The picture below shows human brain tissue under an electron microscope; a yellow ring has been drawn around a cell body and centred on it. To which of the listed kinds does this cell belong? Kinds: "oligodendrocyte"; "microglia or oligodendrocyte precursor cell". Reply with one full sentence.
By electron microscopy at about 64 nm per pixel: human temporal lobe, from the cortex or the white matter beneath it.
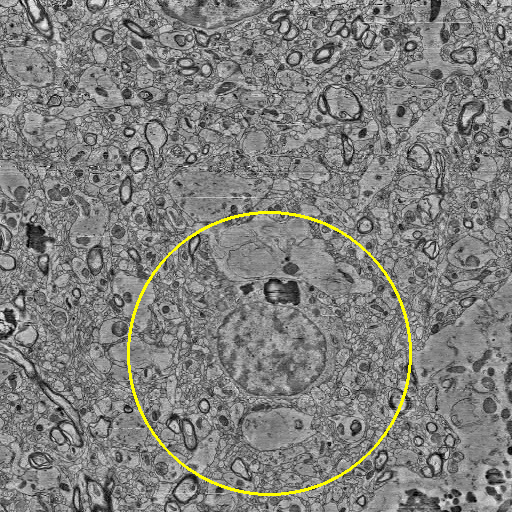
It is an oligodendrocyte that the yellow ring in the picture is centred on.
